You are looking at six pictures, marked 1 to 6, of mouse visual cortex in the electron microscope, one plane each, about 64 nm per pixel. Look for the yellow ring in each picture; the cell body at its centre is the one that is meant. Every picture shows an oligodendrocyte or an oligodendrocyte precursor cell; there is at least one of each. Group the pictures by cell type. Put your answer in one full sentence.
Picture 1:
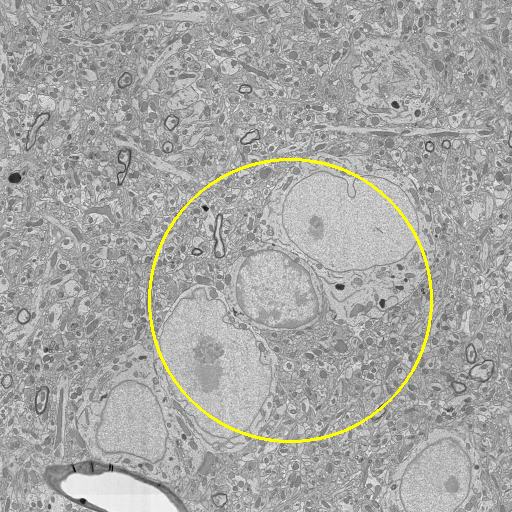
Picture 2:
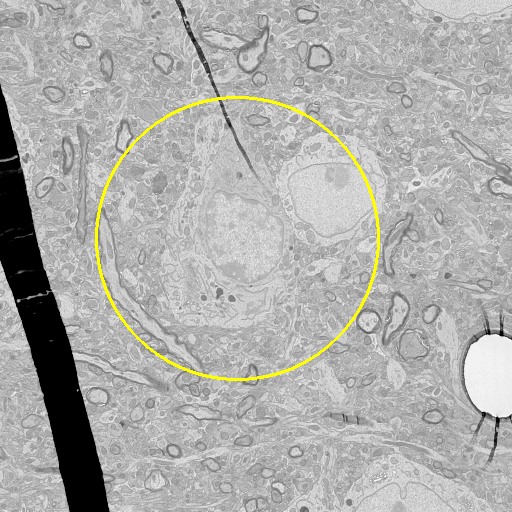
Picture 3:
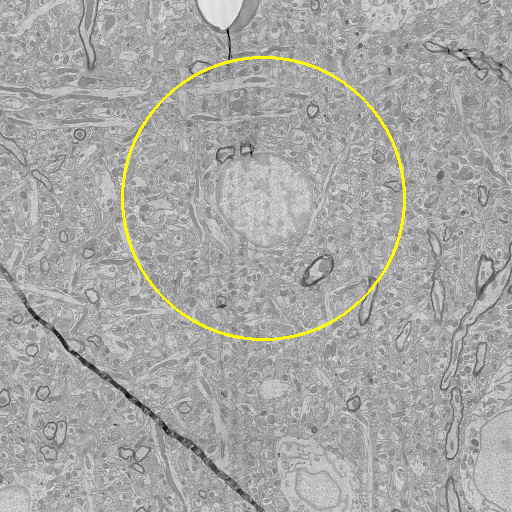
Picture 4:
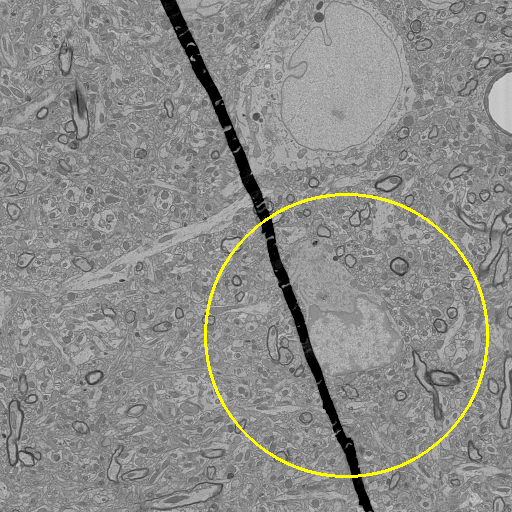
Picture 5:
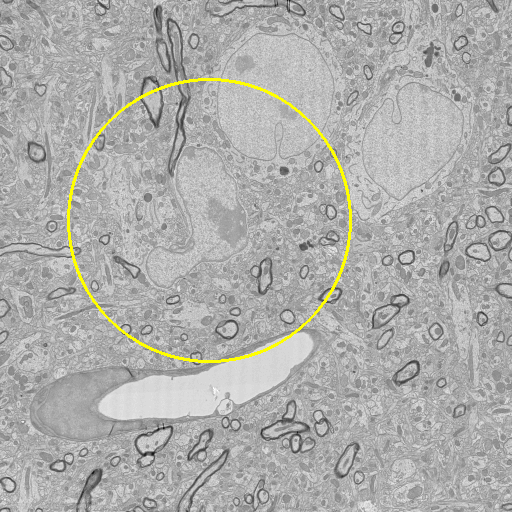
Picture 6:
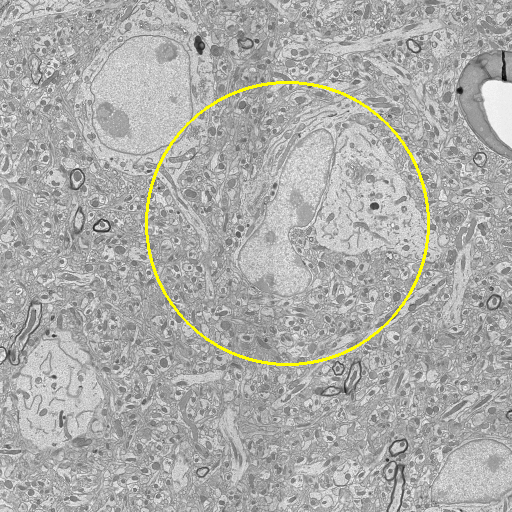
Pictures 1, 2, 3 and 4 show oligodendrocytes; pictures 5 and 6 show oligodendrocyte precursor cells.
